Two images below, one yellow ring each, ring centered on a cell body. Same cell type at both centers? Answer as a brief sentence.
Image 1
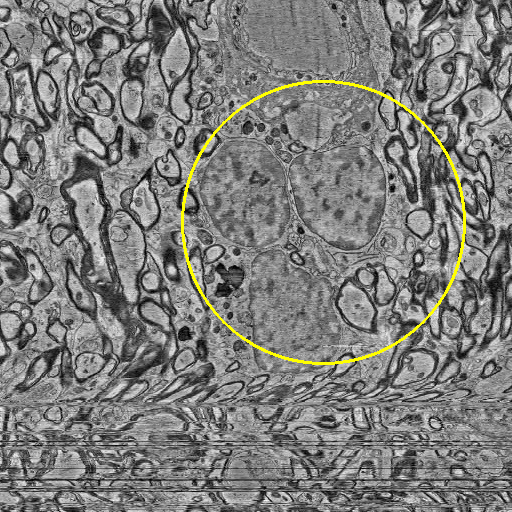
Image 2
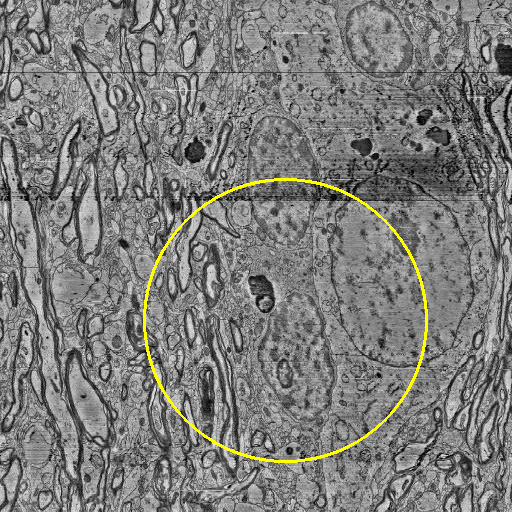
No, the cells are of two separate types.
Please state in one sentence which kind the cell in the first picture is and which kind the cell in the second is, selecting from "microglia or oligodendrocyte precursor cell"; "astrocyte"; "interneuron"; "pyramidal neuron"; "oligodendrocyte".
The first ringed cell is a microglial cell or oligodendrocyte precursor cell, the second ringed cell an oligodendrocyte.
